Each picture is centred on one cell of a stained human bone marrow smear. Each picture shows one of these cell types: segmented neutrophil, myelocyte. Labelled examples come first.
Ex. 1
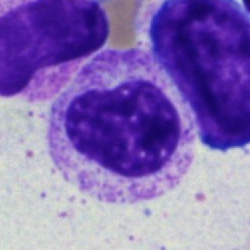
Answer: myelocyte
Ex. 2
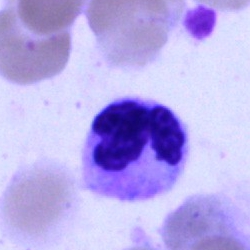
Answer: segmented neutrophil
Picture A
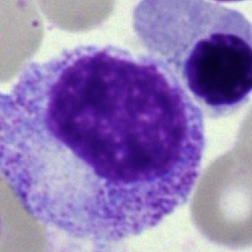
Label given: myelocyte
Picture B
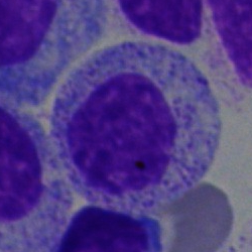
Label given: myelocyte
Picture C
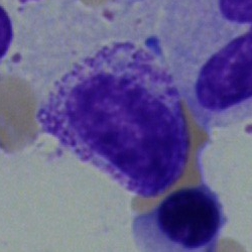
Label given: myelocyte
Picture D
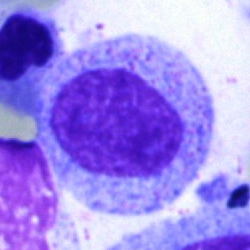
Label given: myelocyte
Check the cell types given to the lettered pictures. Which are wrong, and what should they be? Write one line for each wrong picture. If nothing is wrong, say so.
Every label is right.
